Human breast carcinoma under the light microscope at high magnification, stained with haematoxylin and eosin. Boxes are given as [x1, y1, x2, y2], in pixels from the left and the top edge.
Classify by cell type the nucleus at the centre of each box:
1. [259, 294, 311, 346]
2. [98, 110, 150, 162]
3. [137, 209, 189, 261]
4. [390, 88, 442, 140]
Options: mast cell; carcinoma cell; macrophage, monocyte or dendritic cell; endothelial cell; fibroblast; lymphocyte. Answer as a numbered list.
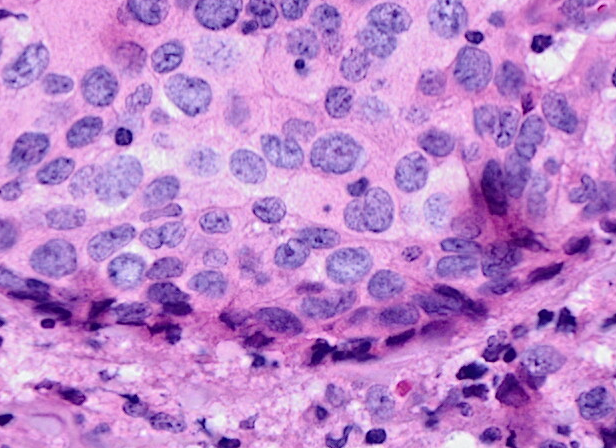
1. carcinoma cell
2. lymphocyte
3. carcinoma cell
4. carcinoma cell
